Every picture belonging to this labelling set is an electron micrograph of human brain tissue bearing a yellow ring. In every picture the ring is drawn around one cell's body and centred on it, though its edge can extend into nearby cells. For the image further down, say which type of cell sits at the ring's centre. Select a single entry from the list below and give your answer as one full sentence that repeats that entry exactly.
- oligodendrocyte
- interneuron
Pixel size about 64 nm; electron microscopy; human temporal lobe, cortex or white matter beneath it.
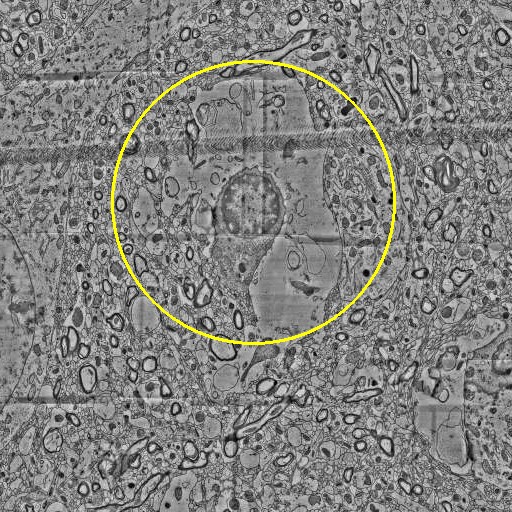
In the picture, an oligodendrocyte is the cell at the centre of the yellow ring.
